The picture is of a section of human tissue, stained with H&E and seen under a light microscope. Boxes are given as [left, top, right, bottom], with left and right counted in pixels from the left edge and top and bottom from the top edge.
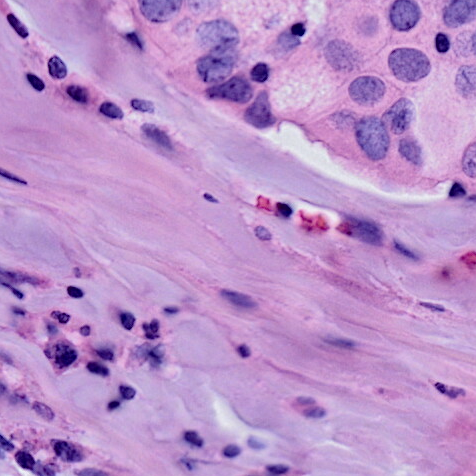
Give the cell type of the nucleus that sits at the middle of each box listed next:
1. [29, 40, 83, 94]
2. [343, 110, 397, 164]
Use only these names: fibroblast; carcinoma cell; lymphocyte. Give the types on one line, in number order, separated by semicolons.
lymphocyte; carcinoma cell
